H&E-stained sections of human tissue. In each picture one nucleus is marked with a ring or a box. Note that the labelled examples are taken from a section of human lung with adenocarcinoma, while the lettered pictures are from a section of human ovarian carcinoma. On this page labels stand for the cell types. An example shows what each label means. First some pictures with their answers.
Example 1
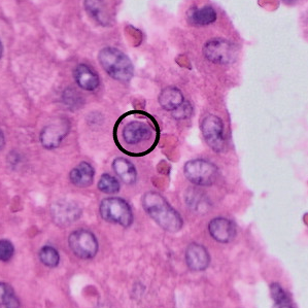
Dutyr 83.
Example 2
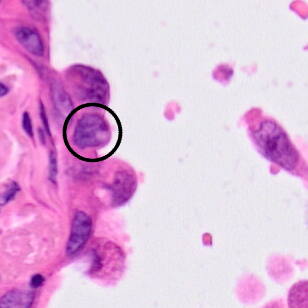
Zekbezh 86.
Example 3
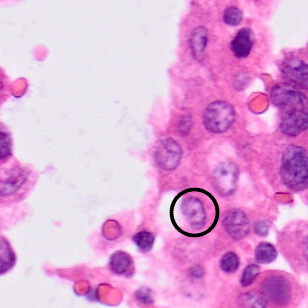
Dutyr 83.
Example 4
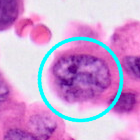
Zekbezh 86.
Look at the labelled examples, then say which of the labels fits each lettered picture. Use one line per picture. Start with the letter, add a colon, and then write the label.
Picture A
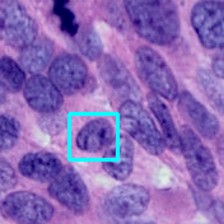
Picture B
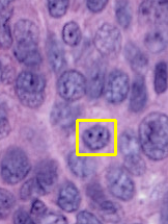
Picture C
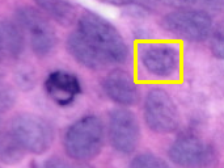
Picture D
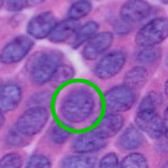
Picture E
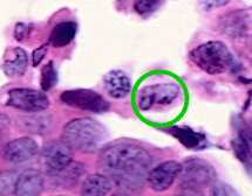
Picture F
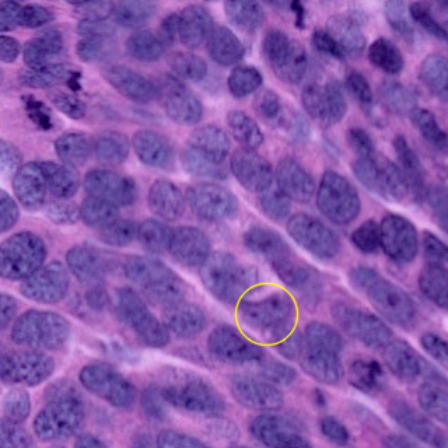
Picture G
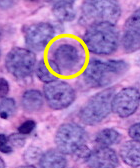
A: Dutyr 83.
B: Dutyr 83.
C: Dutyr 83.
D: Zekbezh 86.
E: Dutyr 83.
F: Zekbezh 86.
G: Zekbezh 86.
